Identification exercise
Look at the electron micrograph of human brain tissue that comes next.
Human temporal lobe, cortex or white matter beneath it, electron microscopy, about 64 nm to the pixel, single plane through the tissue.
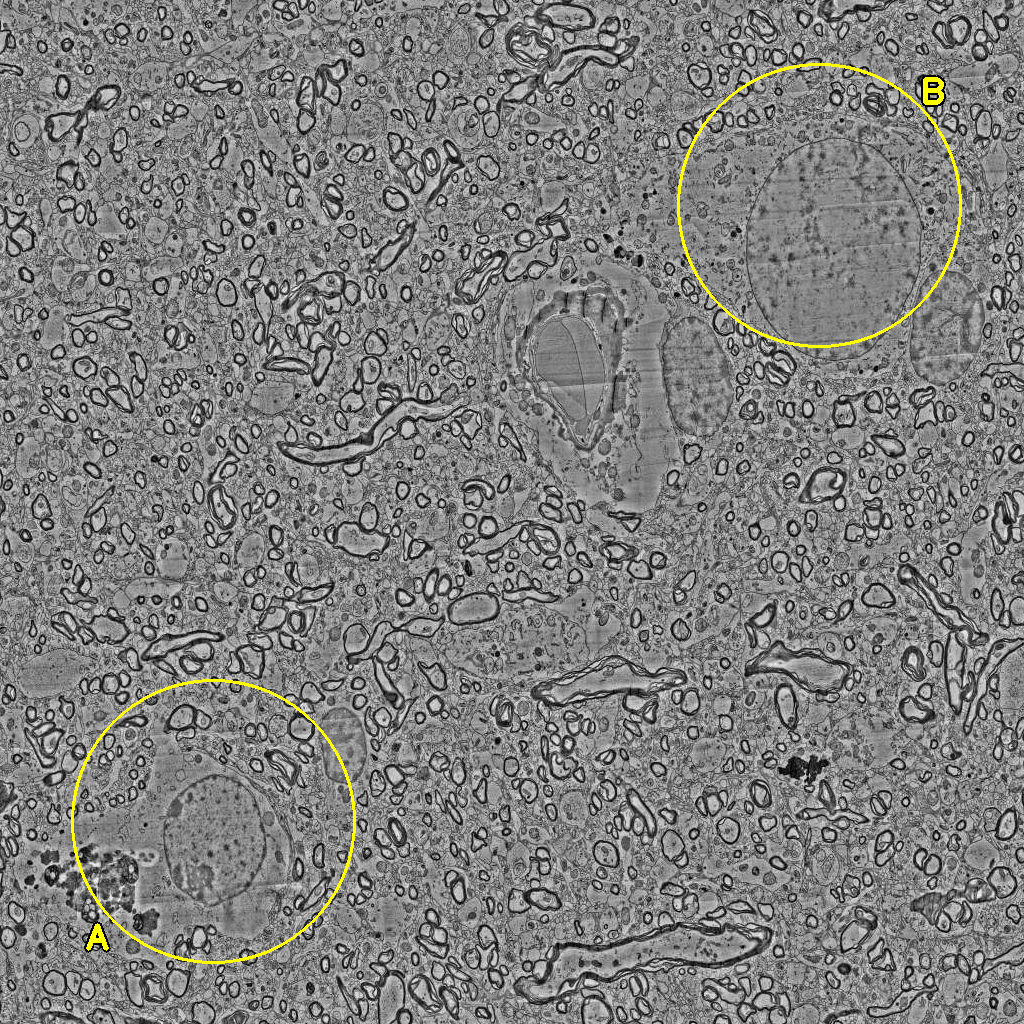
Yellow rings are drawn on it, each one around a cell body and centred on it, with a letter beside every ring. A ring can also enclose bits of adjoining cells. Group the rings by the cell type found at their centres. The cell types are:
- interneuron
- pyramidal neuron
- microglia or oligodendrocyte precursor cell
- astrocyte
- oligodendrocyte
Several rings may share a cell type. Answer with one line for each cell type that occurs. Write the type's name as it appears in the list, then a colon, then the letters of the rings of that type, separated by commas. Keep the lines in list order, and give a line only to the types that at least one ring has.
pyramidal neuron: B
astrocyte: A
